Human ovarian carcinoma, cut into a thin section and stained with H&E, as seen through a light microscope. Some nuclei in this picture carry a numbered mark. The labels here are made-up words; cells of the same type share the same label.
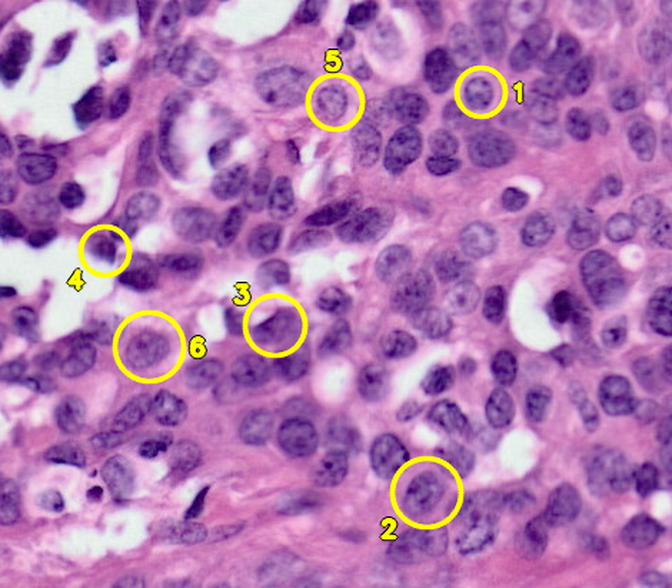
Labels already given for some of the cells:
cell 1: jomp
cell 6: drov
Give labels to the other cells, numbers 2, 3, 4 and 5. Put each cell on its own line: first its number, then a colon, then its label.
2: drov
3: drov
4: drov
5: jomp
